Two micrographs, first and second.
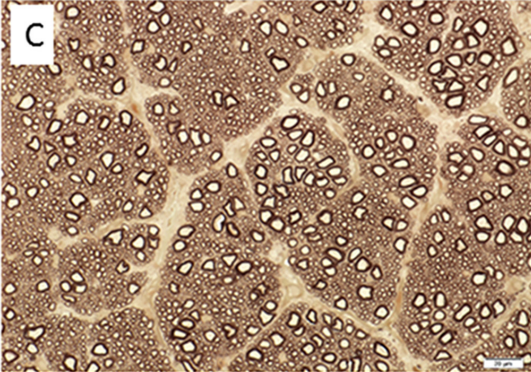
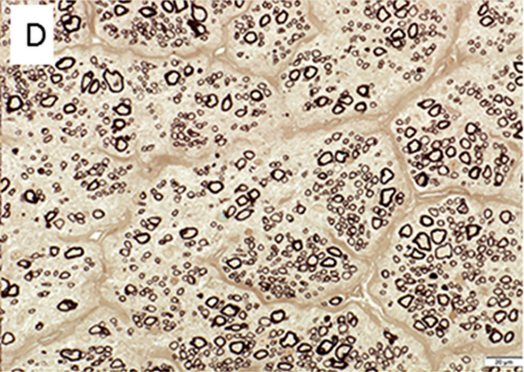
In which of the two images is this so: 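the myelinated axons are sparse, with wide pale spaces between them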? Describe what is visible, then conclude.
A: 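Second image: dark rings scattered with much pale tissue between them. First image: dark rings packed closely filling the fascicles. That points to this answer: the second image.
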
